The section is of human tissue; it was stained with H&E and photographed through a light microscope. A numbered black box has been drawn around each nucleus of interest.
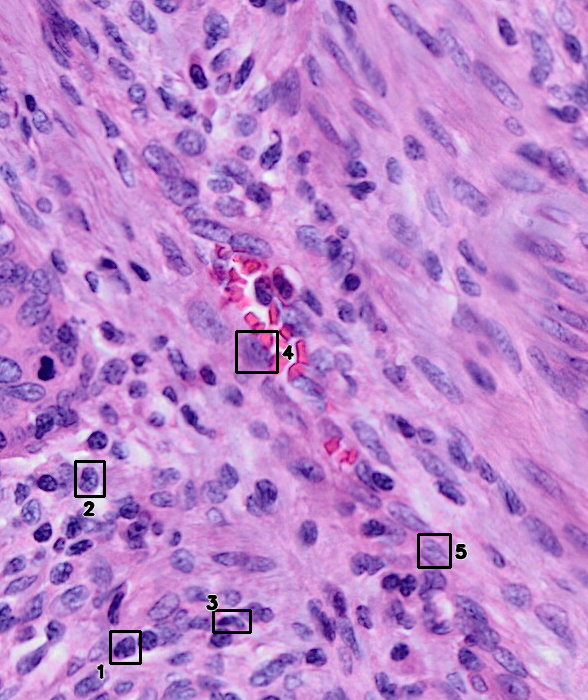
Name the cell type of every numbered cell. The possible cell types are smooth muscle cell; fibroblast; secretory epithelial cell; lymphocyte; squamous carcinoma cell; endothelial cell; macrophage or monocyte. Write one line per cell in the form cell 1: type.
cell 1: lymphocyte
cell 2: lymphocyte
cell 3: lymphocyte
cell 4: endothelial cell
cell 5: endothelial cell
